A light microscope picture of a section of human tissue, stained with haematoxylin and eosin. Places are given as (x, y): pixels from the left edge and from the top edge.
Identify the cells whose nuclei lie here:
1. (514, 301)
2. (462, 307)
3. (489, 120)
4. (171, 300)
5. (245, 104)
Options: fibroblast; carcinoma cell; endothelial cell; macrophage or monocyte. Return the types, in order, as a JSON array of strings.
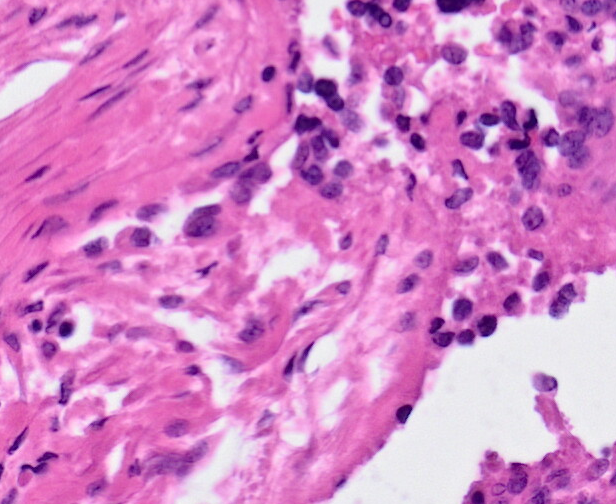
["macrophage or monocyte", "carcinoma cell", "carcinoma cell", "fibroblast", "fibroblast"]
